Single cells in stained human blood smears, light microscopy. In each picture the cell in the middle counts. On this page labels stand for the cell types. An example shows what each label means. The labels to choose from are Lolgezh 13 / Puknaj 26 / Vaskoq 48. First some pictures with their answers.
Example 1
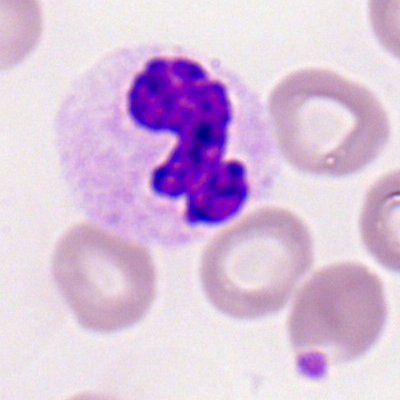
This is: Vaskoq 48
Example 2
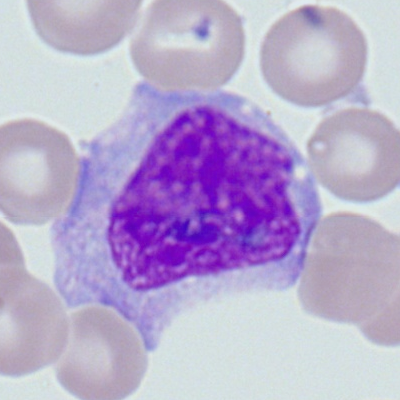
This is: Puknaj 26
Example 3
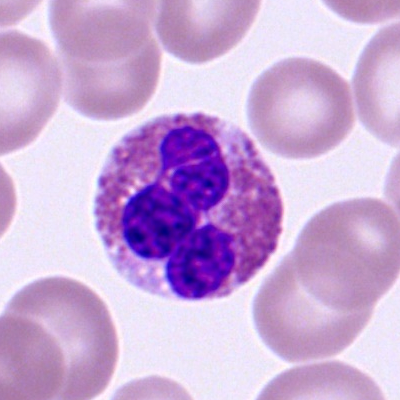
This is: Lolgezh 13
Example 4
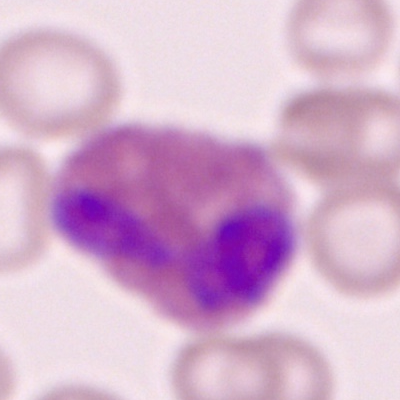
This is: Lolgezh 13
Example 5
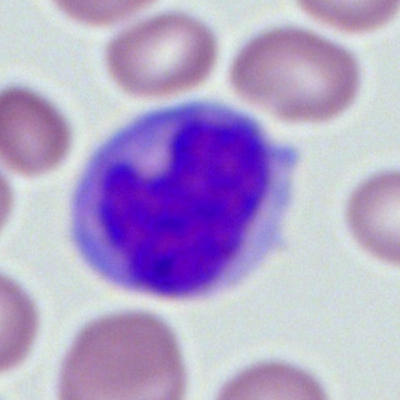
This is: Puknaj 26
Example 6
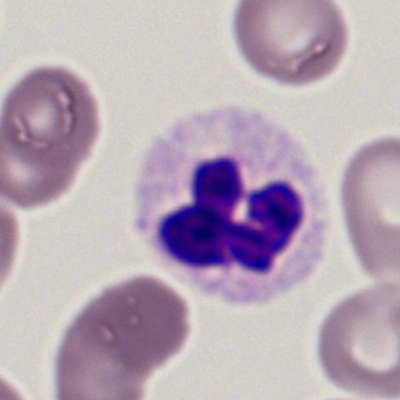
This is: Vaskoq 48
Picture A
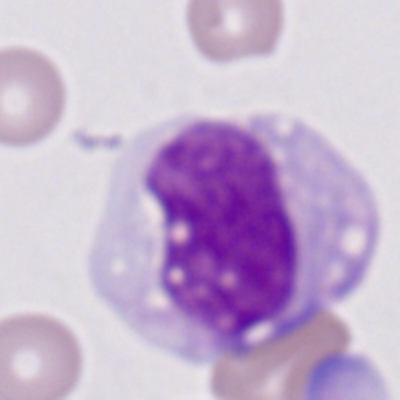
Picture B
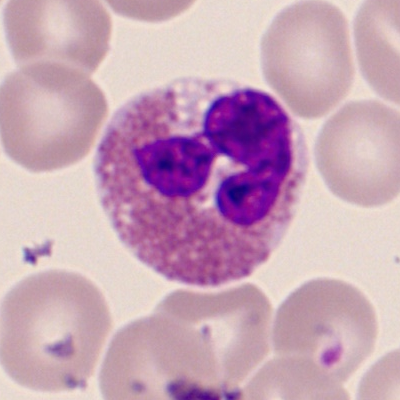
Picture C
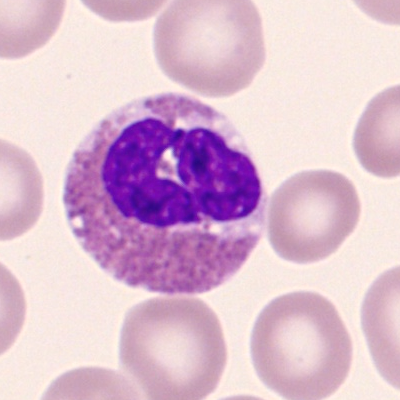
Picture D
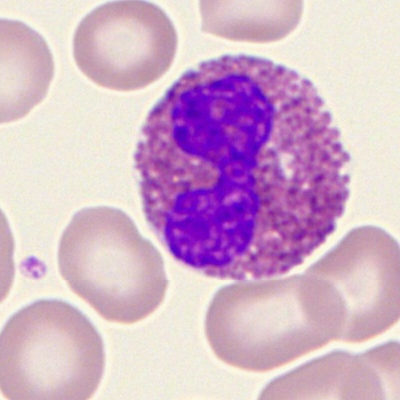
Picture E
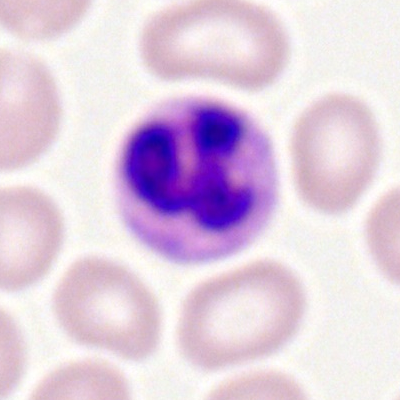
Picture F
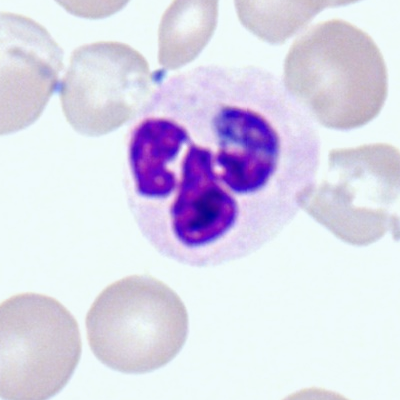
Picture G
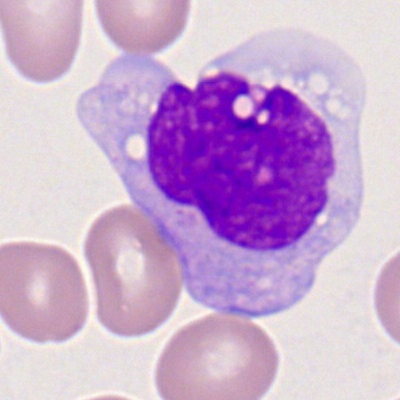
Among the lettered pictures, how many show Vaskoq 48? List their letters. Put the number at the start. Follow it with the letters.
2, namely E, F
